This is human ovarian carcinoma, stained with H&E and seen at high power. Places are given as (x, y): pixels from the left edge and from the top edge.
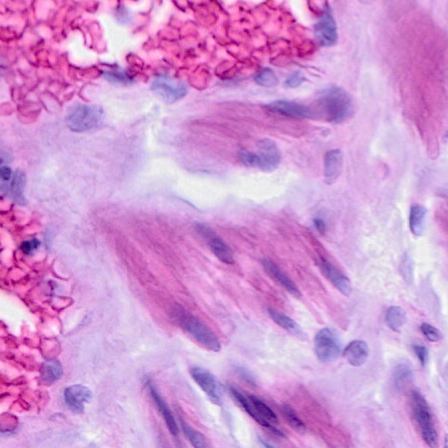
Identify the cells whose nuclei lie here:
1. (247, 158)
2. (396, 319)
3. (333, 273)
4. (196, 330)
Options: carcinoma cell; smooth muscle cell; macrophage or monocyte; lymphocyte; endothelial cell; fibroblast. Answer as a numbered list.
1. smooth muscle cell
2. fibroblast
3. smooth muscle cell
4. smooth muscle cell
